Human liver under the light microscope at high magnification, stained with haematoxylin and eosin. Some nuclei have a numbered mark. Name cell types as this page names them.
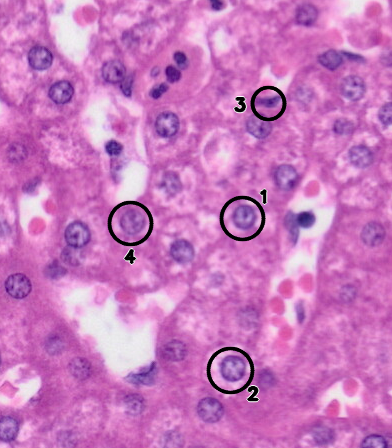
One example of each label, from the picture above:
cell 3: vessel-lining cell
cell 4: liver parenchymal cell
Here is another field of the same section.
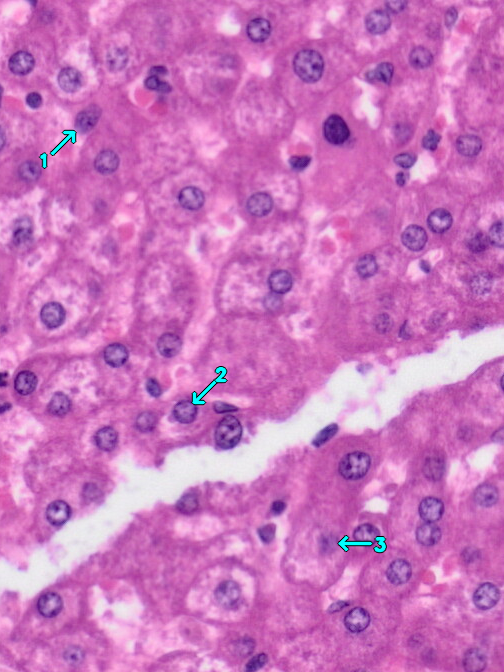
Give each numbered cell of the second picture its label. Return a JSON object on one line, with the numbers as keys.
{"1": "vessel-lining cell", "2": "liver parenchymal cell", "3": "liver parenchymal cell"}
